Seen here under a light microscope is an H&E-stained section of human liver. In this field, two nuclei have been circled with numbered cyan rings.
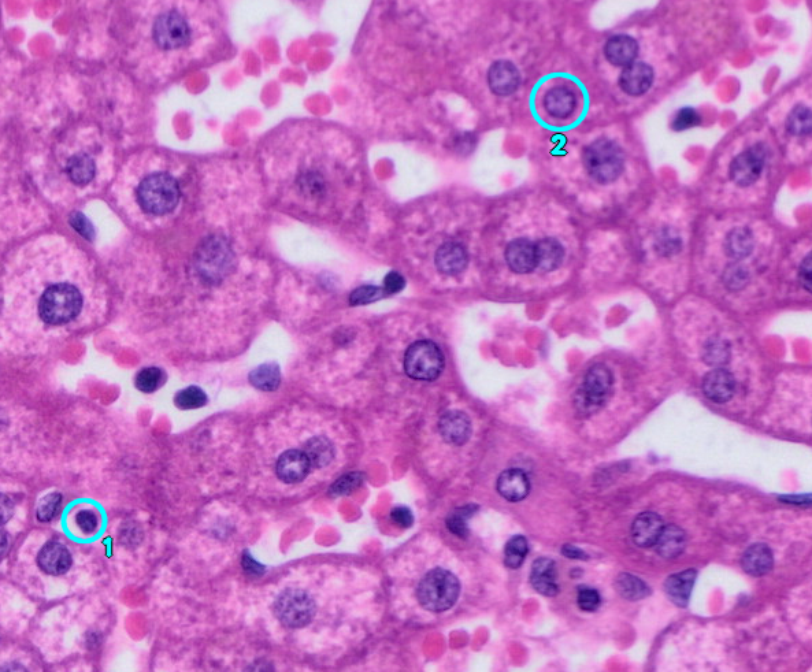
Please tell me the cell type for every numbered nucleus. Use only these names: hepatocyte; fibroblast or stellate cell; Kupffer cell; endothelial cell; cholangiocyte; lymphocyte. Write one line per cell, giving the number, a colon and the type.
1: lymphocyte
2: hepatocyte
